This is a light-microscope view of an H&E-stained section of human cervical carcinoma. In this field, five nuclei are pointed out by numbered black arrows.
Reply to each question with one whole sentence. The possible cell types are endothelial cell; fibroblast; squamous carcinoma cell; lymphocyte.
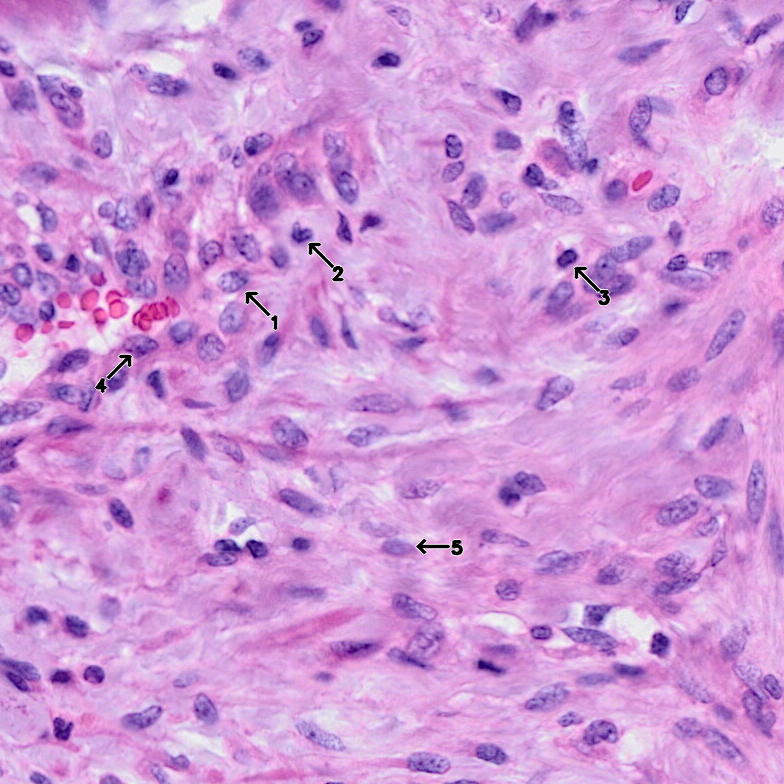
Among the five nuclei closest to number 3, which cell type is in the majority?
Endothelial cells account for more than half of the five nuclei nearest to number 3.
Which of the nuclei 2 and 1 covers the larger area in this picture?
The larger nucleus is 1, at roughly 2 times the area of 2.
